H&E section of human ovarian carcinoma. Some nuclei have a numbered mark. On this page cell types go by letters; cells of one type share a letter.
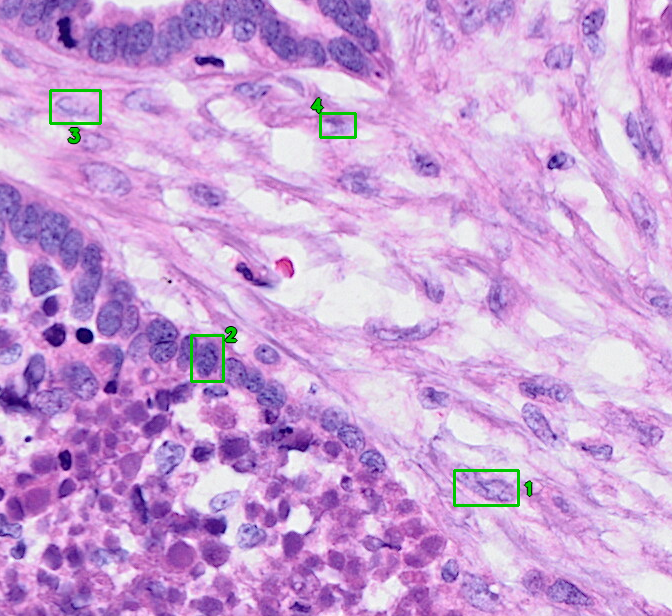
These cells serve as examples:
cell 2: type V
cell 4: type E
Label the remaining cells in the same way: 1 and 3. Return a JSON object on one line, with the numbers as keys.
{"1": "type E", "3": "type E"}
